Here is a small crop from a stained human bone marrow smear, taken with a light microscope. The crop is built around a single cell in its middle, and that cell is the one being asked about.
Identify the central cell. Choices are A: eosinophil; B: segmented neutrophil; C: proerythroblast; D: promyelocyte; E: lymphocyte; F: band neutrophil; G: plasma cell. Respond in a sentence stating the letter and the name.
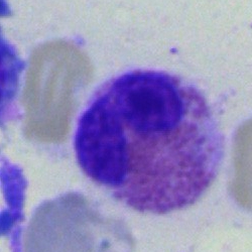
The cell at the centre is an eosinophil, and option A accordingly is correct.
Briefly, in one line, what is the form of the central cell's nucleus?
Rather than a single mass, the nucleus forms two or more lobes.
